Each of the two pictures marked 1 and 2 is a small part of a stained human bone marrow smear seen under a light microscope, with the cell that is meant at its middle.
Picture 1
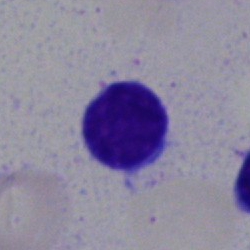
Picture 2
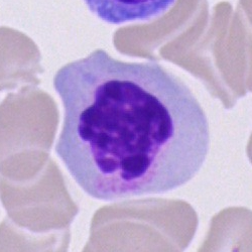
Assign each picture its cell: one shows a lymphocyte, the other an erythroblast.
1: lymphocyte
2: erythroblast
